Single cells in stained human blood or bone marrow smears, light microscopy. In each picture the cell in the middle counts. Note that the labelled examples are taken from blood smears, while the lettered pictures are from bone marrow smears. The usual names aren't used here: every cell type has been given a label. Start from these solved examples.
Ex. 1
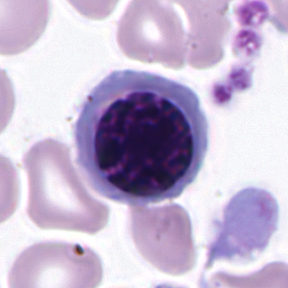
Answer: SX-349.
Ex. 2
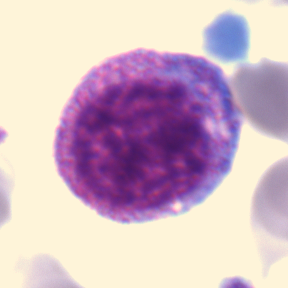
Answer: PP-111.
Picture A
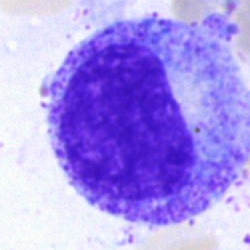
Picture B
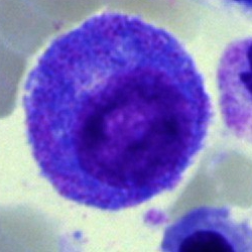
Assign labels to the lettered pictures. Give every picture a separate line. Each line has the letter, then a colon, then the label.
A: PP-111.
B: PP-111.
